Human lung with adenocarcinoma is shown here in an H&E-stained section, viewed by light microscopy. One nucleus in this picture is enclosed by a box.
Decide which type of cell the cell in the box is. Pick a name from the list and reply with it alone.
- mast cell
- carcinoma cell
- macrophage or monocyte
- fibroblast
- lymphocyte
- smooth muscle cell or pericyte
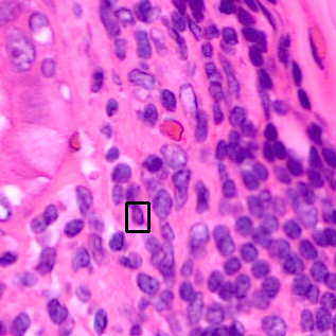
lymphocyte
